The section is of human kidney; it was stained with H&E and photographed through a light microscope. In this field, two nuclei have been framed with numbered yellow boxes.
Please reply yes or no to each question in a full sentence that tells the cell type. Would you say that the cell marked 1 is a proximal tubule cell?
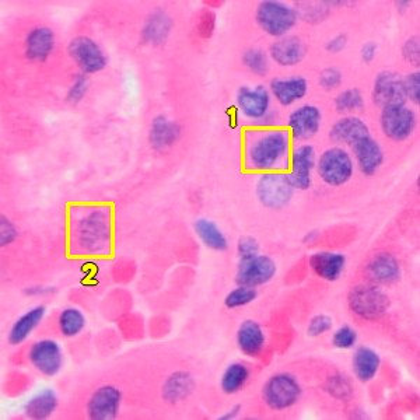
No, the one with number 1 is a collecting duct cell, not a proximal tubule cell.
